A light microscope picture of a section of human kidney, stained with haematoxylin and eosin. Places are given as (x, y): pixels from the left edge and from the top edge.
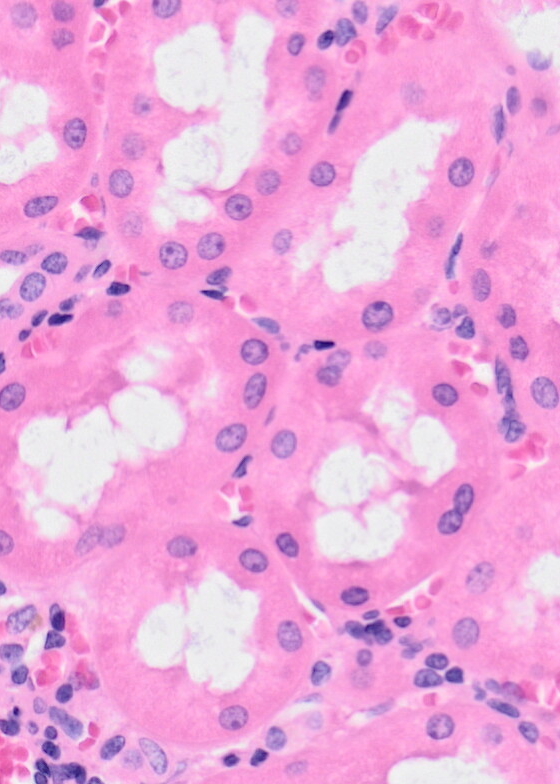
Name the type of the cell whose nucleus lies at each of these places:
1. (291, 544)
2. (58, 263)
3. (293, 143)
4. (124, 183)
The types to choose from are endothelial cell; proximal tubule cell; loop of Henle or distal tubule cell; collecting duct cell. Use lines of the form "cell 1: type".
cell 1: proximal tubule cell
cell 2: collecting duct cell
cell 3: proximal tubule cell
cell 4: proximal tubule cell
